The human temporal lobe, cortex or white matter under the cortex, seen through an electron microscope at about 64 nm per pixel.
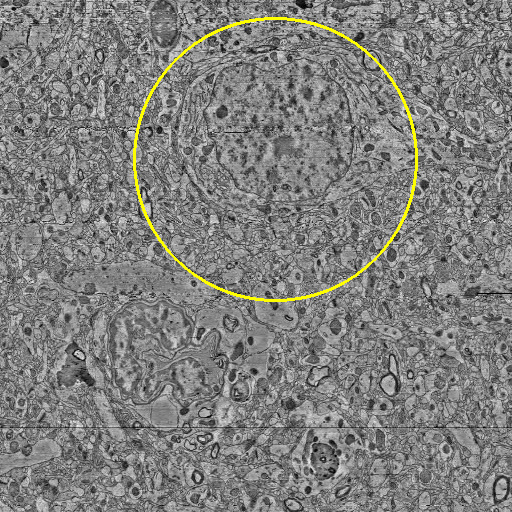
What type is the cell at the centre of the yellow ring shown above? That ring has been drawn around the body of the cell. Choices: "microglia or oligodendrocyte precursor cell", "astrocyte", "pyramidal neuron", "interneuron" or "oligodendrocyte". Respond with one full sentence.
My answer is that an interneuron lies at the centre of the yellow ring above.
